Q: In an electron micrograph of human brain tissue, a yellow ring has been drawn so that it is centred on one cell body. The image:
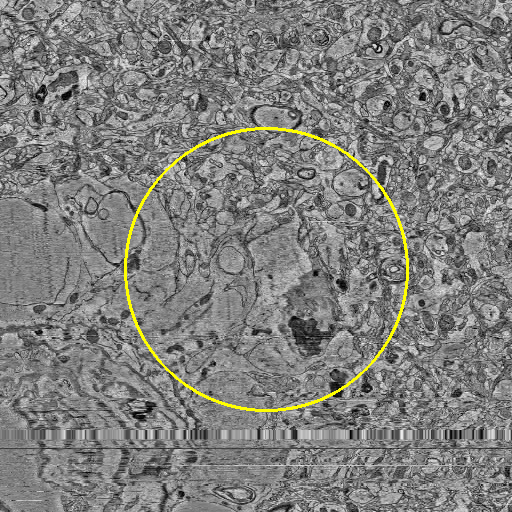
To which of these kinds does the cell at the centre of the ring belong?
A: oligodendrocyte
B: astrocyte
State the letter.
A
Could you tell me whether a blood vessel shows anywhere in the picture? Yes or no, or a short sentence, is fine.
Yes, there is a blood vessel in the image.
